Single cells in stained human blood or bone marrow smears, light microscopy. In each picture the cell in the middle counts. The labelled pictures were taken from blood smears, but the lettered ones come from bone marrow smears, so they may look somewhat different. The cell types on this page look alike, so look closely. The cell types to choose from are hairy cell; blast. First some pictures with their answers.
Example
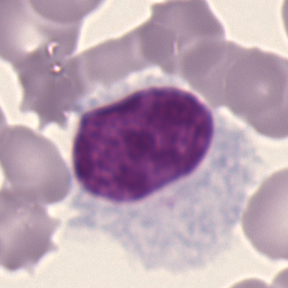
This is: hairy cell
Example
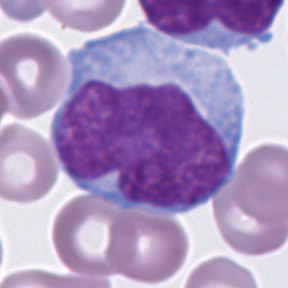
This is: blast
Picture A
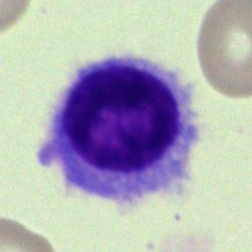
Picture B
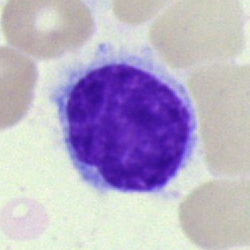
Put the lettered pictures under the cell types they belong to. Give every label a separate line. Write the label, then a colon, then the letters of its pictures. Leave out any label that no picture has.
hairy cell: A, B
